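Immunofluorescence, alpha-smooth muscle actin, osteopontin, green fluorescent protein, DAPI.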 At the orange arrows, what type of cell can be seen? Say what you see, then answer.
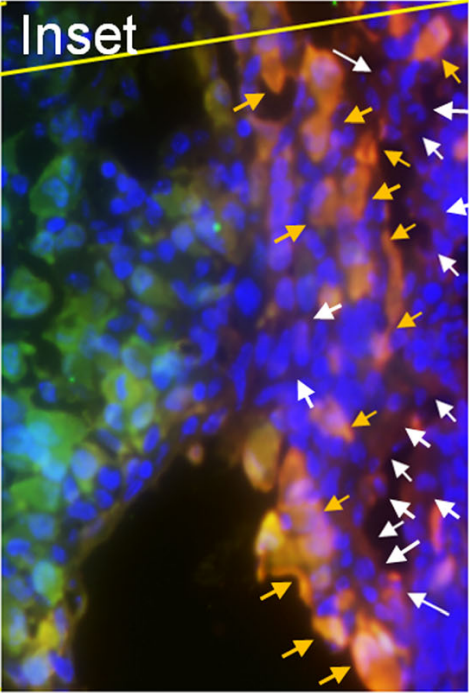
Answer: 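Osteoblasts. The orange arrows point to large cells with bright orange-yellow cytoplasm. These cells line up along the edge of the tissue beside a dark empty space. The marked cells lie apart from the green-fluorescent cell mass on the left.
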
